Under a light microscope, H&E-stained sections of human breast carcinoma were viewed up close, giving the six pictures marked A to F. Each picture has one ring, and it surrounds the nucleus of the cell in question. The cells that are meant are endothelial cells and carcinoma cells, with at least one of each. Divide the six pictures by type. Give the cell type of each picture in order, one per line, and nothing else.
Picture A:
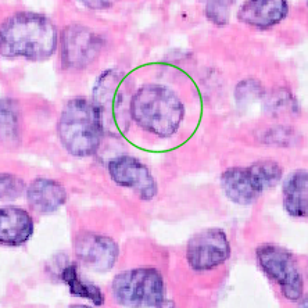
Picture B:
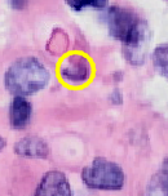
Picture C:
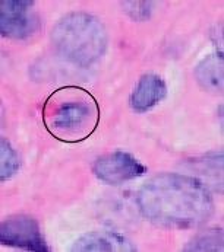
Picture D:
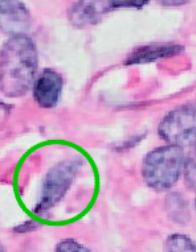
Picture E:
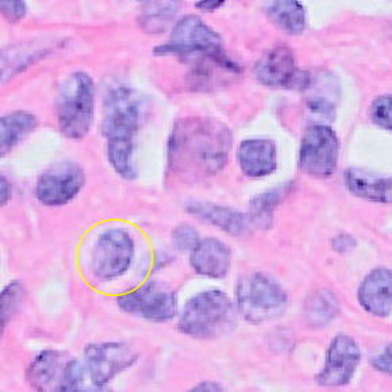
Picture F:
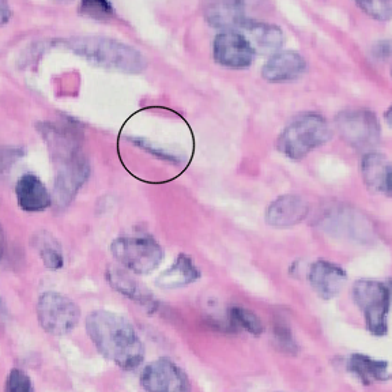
carcinoma cell
endothelial cell
endothelial cell
endothelial cell
carcinoma cell
endothelial cell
